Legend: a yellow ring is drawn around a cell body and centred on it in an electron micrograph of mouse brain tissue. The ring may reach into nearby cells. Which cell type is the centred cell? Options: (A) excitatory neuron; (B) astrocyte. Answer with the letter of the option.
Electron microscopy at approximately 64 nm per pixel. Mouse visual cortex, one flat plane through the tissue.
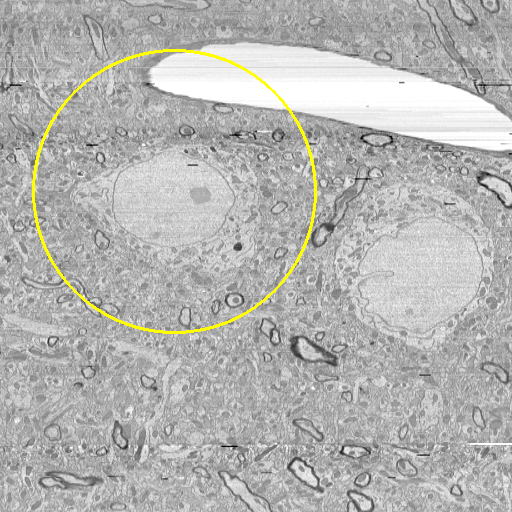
A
